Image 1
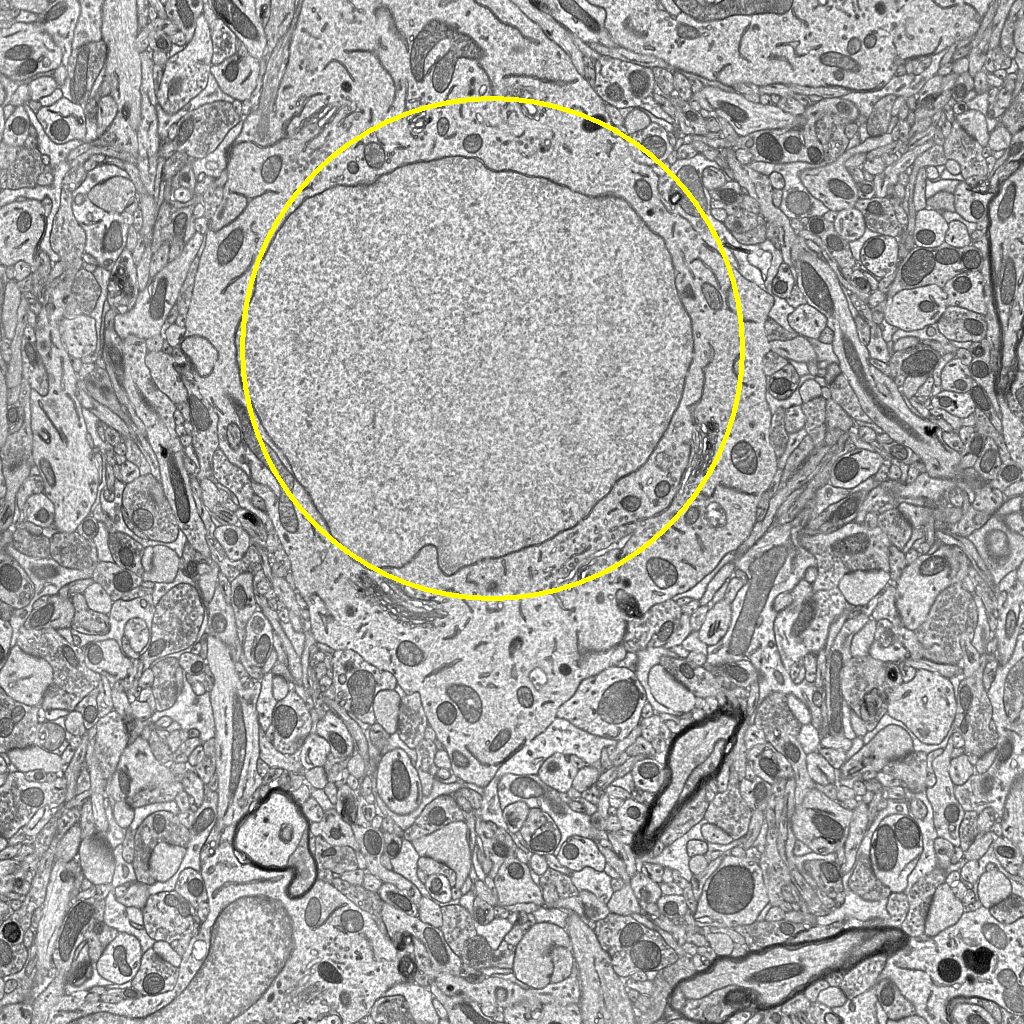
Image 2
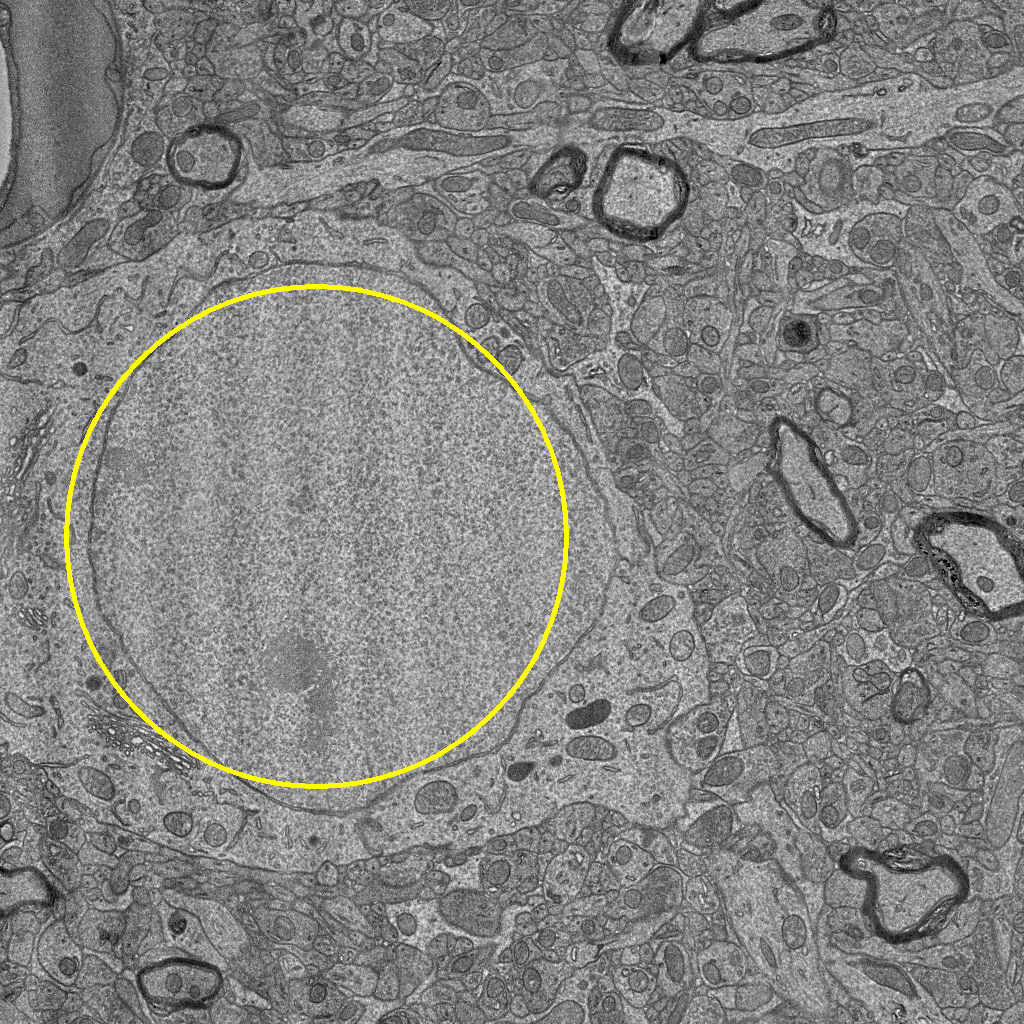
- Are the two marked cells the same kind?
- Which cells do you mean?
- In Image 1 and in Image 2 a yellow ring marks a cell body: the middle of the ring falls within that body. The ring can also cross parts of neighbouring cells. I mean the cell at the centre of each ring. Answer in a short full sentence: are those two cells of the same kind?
Yes, both cells are of the same kind.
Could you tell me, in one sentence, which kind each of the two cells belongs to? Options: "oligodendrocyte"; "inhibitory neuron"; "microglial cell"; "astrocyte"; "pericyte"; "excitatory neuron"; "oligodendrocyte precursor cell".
Each of the two pictures has an excitatory neuron at the ring centre.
